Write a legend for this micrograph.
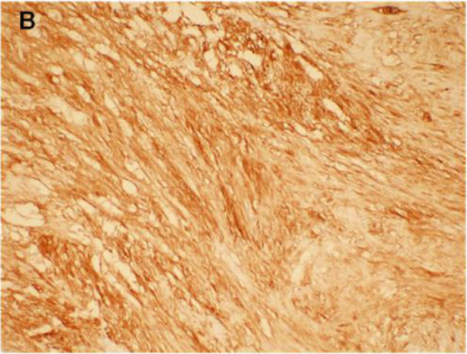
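Spindle cell tumour with elongated cells arranged in long, interlacing fascicles. The cells are diffusely and strongly stained brown, obscuring most nuclei, with looser vacuolated areas alternating with denser bundles.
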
